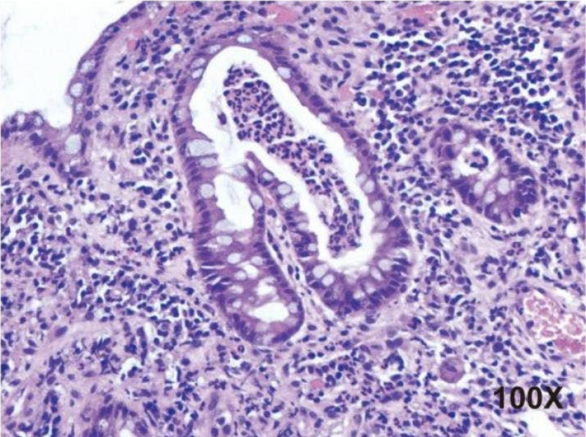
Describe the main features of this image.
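This is intestinal mucosa at high magnification, showing crypts set in a densely cellular lamina propria. One crypt, cut lengthwise, is lined by a single layer of tall columnar epithelial cells with basal purple nuclei and interspersed pale, rounded goblet cells, and its lumen is packed with small dark-nucleated inflammatory cells, forming a crypt abscess. The surrounding stroma is crowded with small round cells with dark nuclei, and a second crypt in cross-section sits to the right. Surface epithelium runs along the upper left edge, and a small cluster of red blood cells lies at the lower right.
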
